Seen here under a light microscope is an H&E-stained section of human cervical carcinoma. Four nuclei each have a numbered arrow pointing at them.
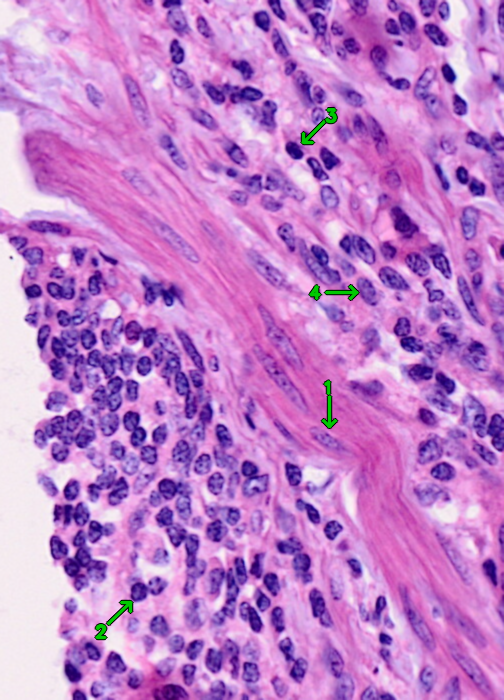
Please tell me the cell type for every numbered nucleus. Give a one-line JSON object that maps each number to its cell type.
{"1": "smooth muscle cell", "2": "lymphocyte", "3": "lymphocyte", "4": "lymphocyte"}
